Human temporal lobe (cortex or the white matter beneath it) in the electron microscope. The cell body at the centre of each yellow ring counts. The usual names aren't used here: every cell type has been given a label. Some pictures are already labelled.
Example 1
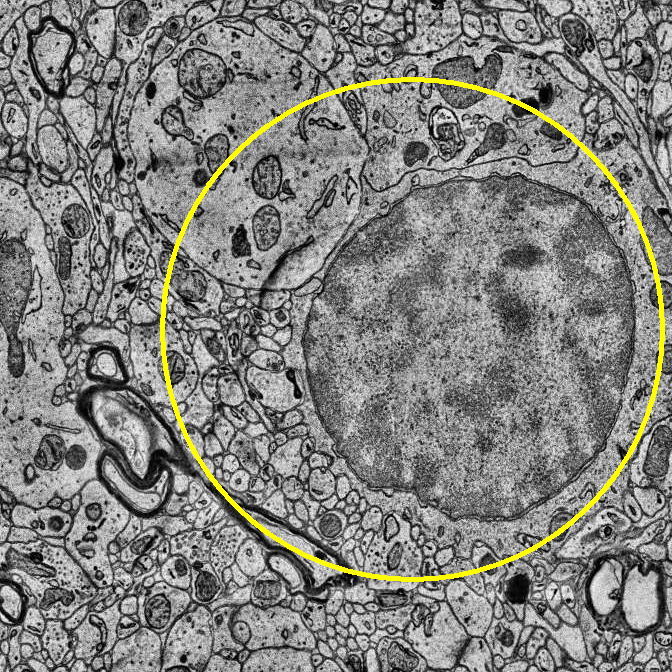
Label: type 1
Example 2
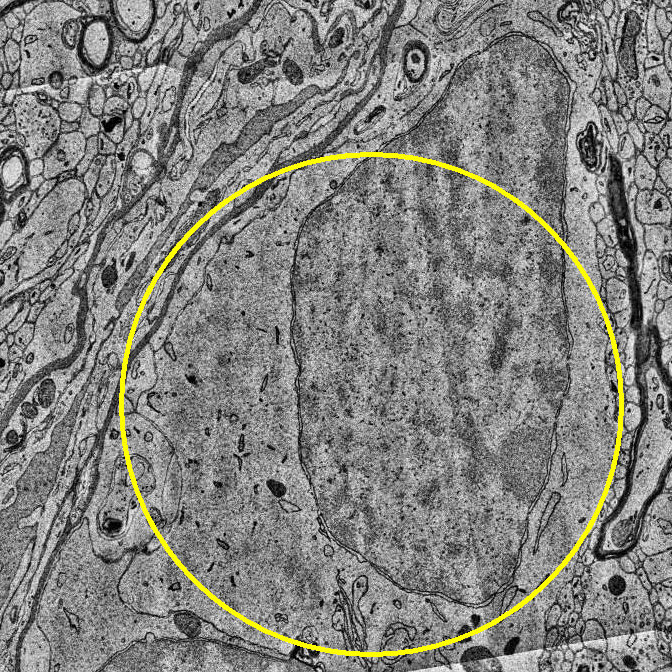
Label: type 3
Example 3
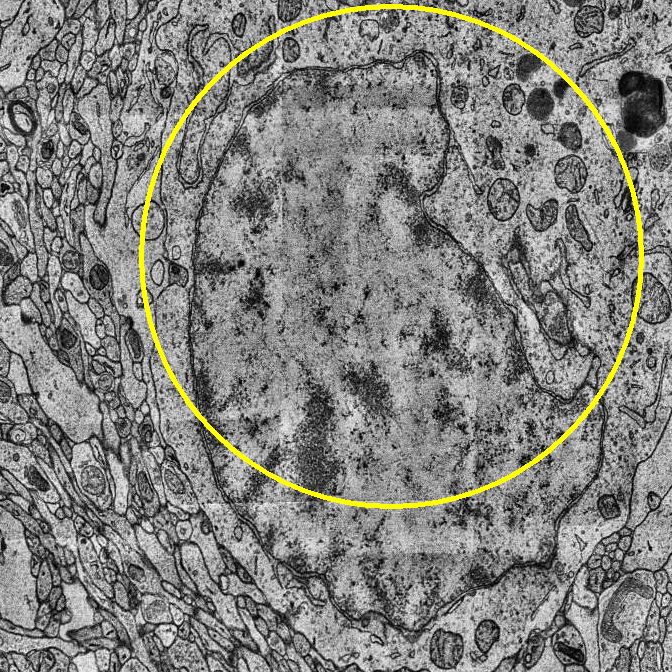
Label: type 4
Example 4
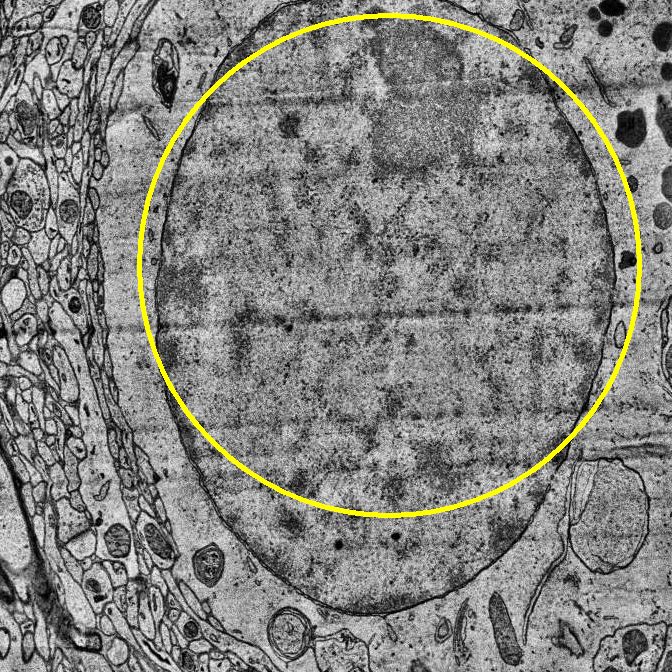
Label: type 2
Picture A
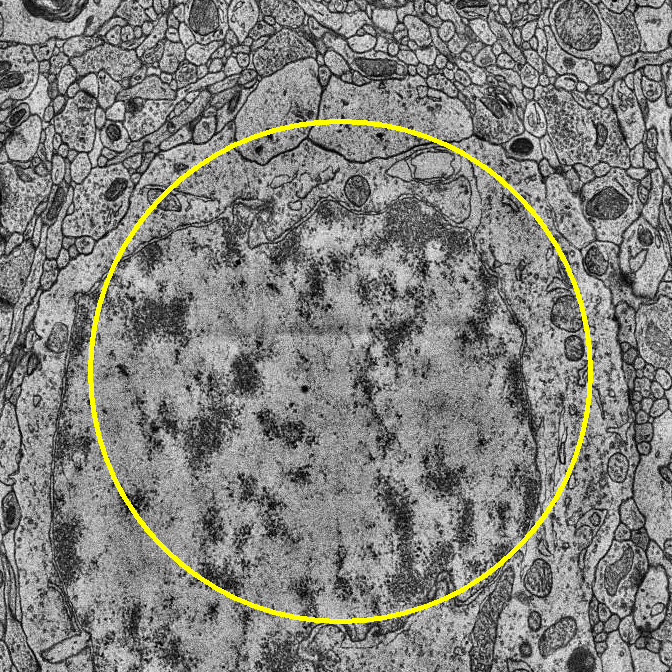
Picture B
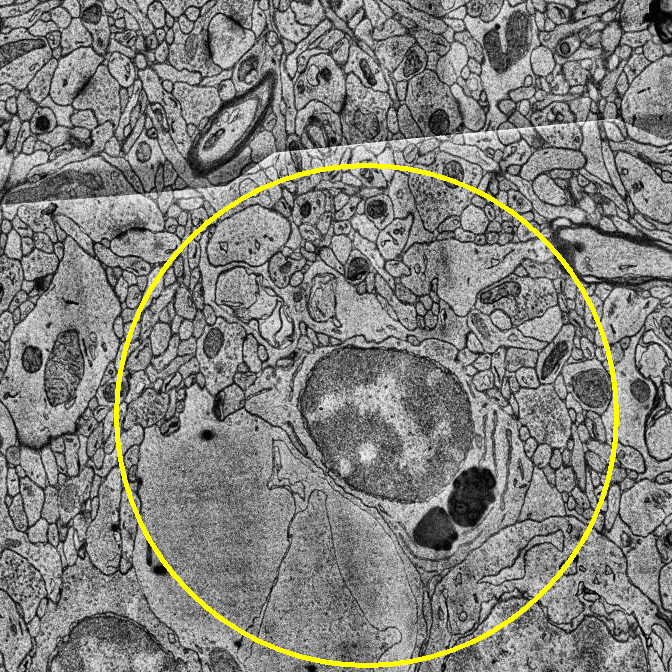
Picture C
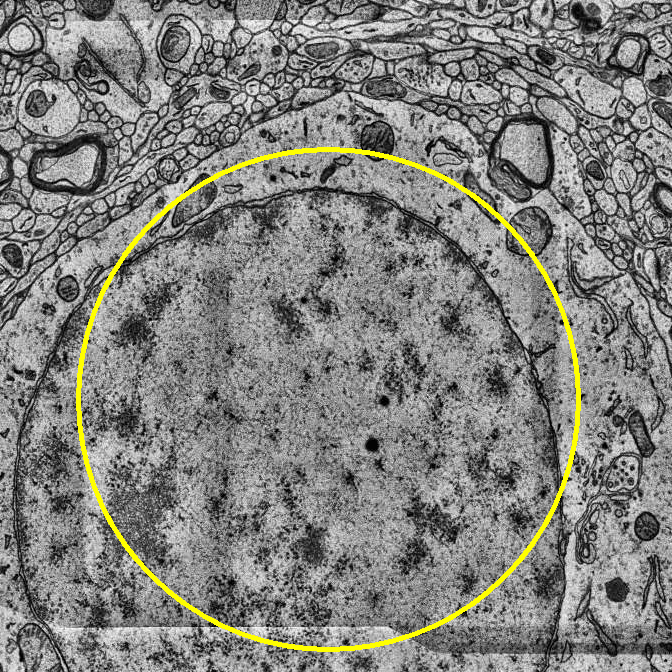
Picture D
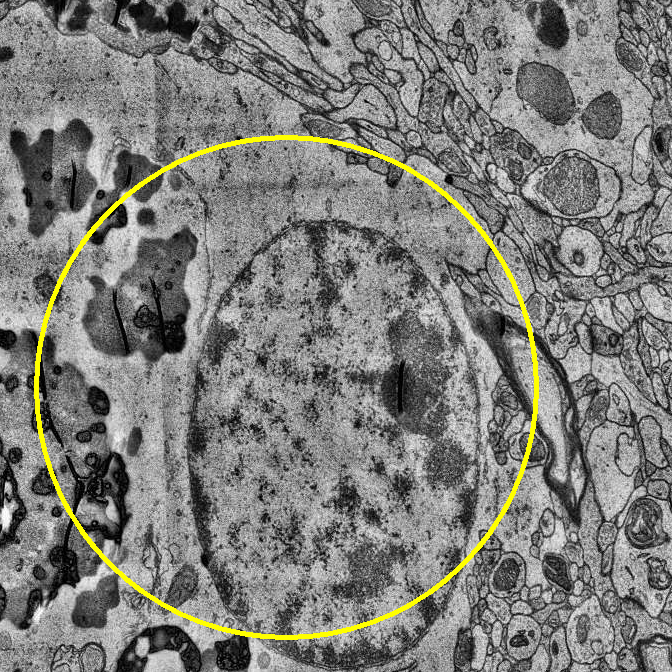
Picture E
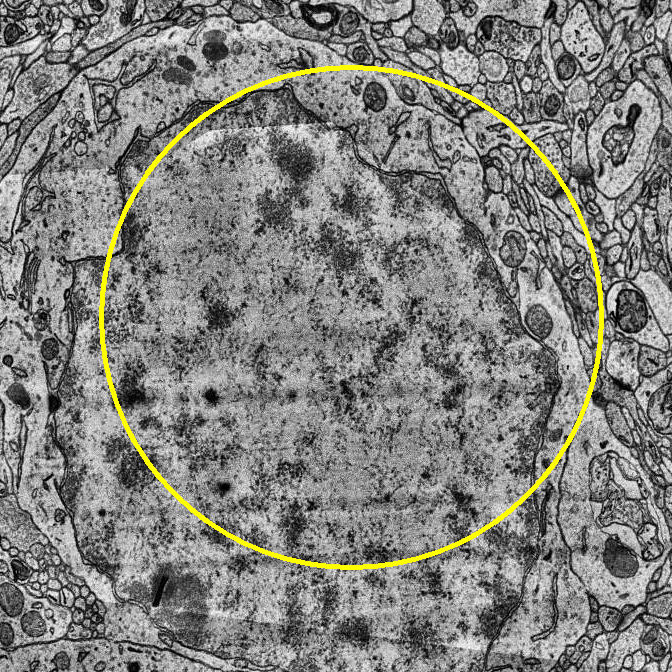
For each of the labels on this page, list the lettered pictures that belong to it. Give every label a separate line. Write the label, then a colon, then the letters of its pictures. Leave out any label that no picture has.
type 3: B
type 4: A, C, E
type 2: D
